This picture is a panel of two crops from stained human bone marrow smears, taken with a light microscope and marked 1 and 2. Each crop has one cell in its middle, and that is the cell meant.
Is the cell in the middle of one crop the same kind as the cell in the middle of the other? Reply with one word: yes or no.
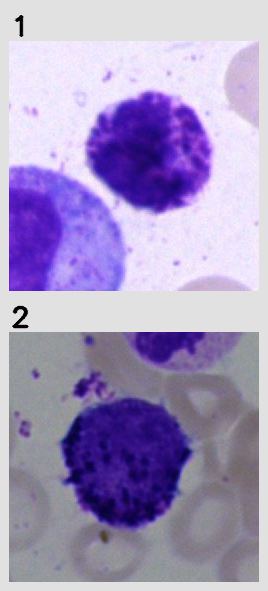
yes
